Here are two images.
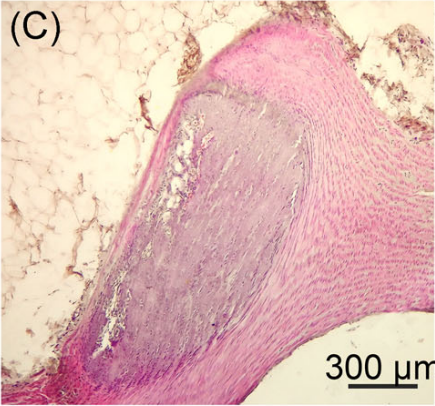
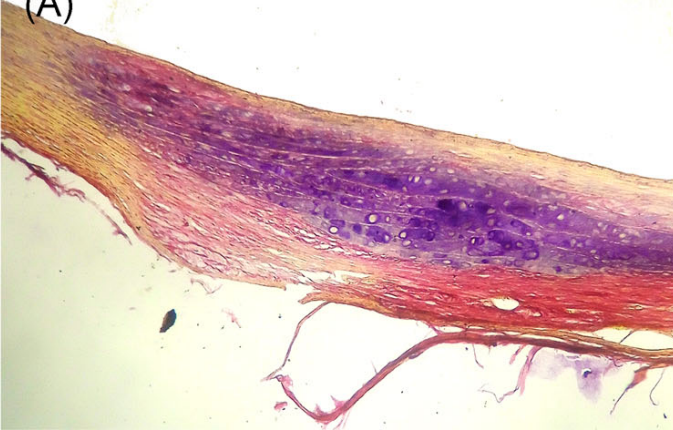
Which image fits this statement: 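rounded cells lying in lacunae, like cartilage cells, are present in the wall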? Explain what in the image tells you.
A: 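First image: the pale bluish zone has no rounded cells in lacunae. Second image: many rounded cells in clear lacunae lie in the purple zone.
The second image.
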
